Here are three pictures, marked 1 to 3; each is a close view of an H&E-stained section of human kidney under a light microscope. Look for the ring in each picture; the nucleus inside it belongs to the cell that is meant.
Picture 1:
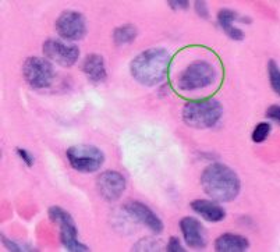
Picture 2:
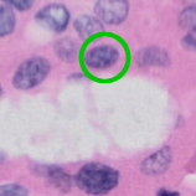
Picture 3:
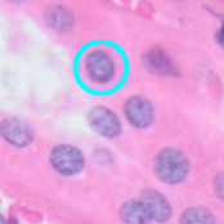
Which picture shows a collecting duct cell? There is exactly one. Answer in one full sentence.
The cell in picture 1 is the collecting duct cell.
